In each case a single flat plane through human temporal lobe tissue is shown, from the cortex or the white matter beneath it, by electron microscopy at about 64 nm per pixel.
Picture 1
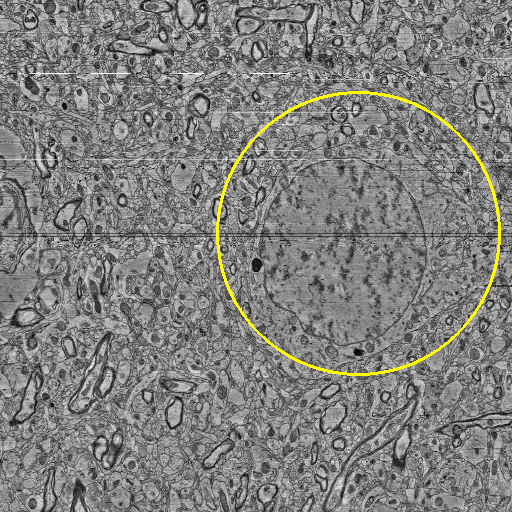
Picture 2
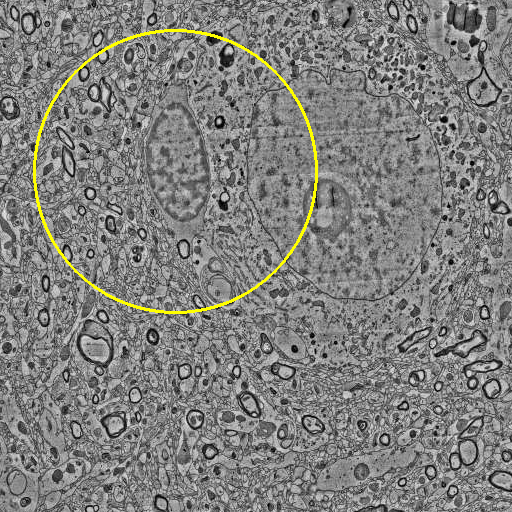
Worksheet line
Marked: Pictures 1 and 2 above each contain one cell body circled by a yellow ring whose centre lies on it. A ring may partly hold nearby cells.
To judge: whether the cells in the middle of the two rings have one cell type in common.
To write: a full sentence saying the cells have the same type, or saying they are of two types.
The cells in the middle of the rings in Picture 1 and Picture 2 are of two types.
